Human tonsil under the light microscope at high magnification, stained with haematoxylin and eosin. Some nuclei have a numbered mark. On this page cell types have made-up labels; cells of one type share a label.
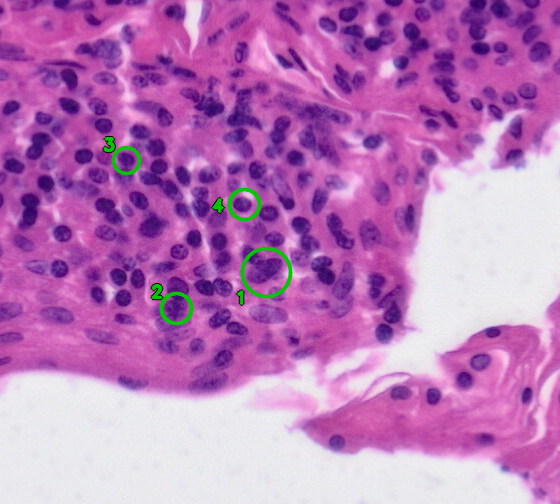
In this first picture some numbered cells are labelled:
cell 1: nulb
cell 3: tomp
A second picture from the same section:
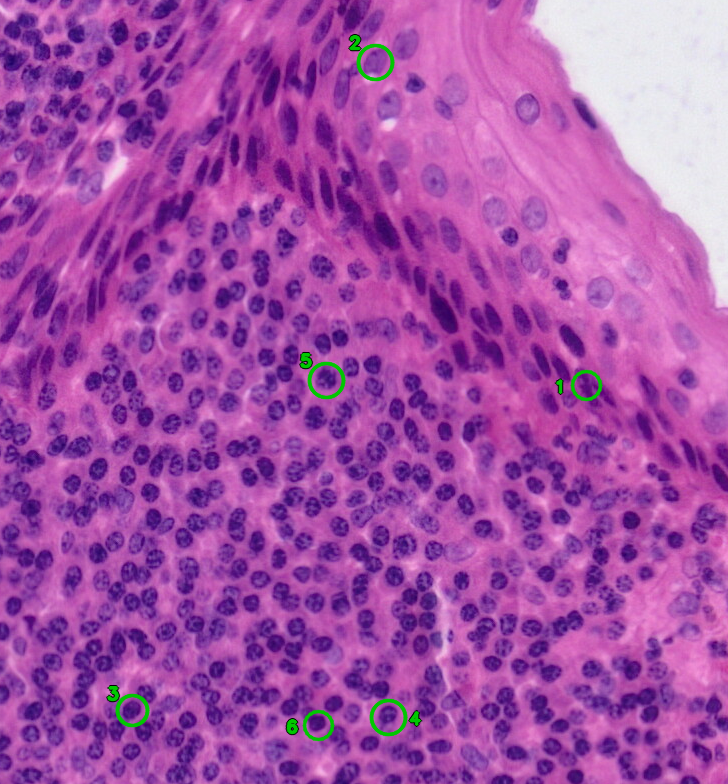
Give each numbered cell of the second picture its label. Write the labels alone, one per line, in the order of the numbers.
nulb
nulb
tomp
tomp
tomp
tomp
